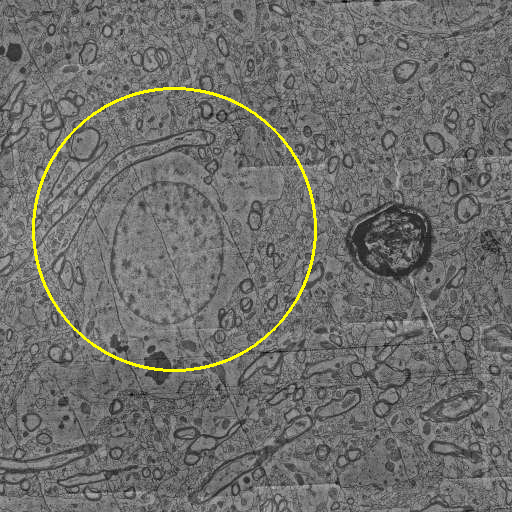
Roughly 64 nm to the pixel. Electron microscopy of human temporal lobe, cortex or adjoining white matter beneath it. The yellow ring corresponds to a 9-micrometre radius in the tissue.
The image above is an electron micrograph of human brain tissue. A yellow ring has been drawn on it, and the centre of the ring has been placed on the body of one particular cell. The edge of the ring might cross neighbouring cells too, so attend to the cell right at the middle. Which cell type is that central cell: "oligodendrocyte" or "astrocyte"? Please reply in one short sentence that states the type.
The central cell in the ring is an astrocyte.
